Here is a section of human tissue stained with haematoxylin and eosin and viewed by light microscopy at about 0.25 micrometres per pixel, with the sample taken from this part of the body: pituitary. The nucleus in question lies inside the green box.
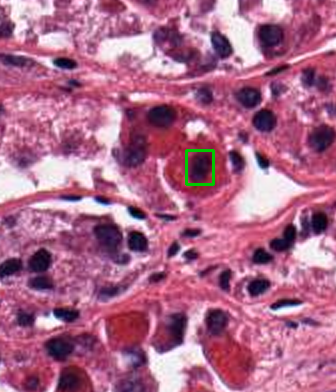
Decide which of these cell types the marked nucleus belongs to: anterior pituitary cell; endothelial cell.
anterior pituitary cell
